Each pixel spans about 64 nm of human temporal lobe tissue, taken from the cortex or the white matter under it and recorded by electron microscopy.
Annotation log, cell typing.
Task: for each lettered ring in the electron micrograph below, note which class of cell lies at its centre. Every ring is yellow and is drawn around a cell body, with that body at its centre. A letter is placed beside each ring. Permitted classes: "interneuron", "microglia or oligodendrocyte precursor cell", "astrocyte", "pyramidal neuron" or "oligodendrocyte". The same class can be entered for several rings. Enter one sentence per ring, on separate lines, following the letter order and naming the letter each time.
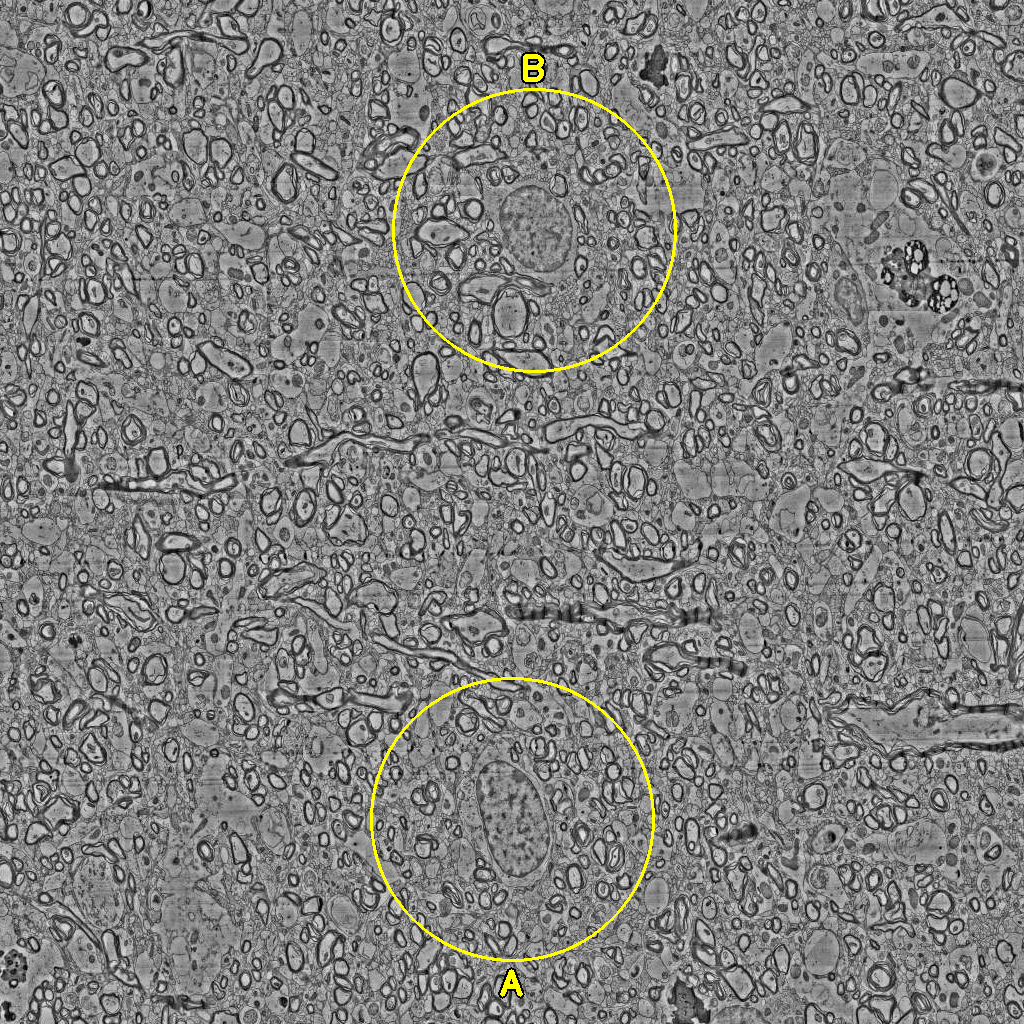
The cell at the centre of ring A is a microglial cell or oligodendrocyte precursor cell.
The cell at the centre of ring B is an oligodendrocyte.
